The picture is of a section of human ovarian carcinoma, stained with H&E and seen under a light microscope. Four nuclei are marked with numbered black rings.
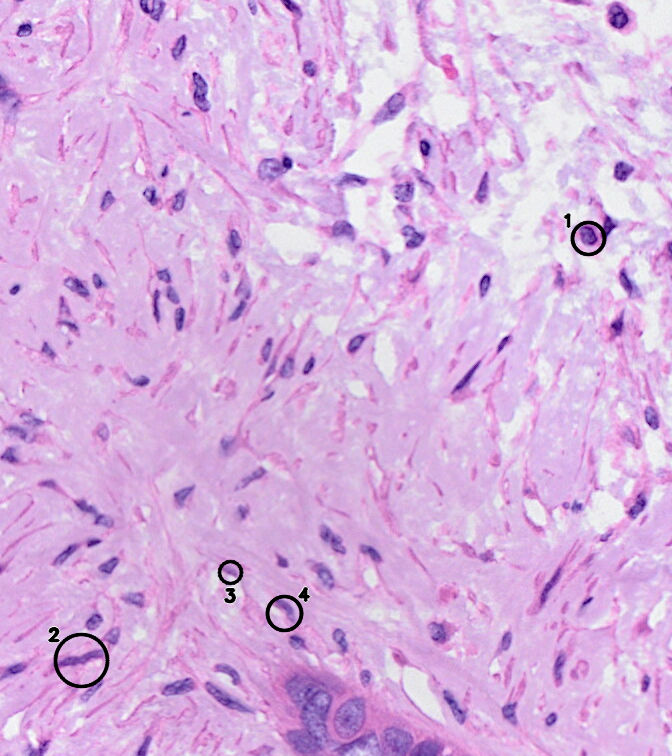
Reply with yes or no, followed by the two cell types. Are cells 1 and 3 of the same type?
No, cell number 1 is a macrophage or monocyte and cell number 3 is a fibroblast.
